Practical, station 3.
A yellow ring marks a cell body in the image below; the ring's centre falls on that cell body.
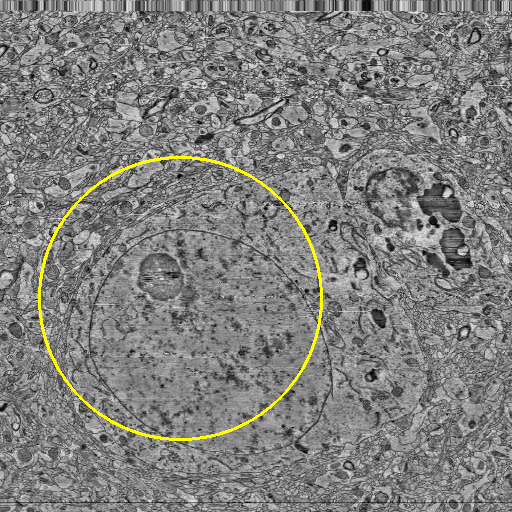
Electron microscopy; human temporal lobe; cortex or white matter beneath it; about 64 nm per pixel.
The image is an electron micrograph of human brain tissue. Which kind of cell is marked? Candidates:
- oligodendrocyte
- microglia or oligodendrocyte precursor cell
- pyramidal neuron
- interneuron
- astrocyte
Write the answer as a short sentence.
The marked cell body is that of a pyramidal neuron.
